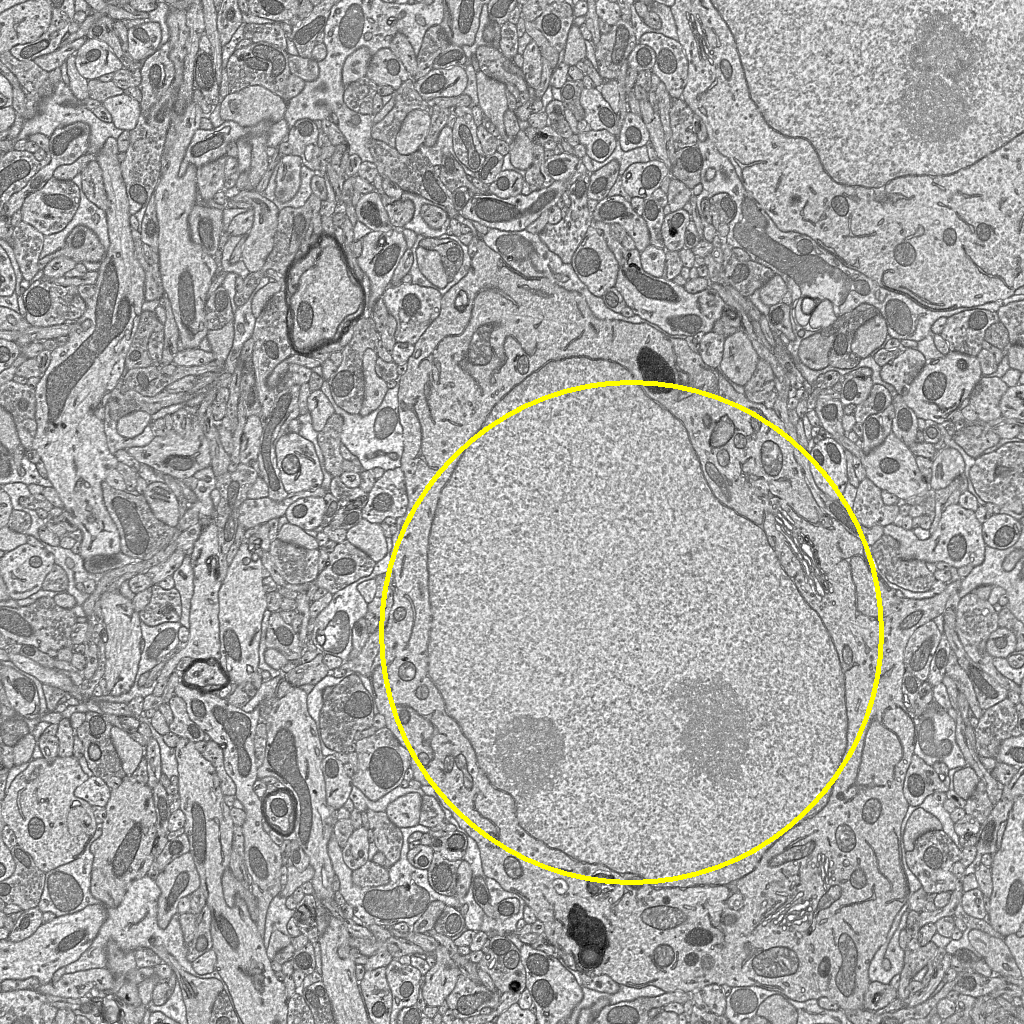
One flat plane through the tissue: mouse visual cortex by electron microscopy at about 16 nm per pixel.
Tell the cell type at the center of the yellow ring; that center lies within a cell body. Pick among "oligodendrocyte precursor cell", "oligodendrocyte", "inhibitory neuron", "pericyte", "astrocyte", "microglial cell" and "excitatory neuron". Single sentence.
The ring's center lies in the body of an excitatory neuron.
